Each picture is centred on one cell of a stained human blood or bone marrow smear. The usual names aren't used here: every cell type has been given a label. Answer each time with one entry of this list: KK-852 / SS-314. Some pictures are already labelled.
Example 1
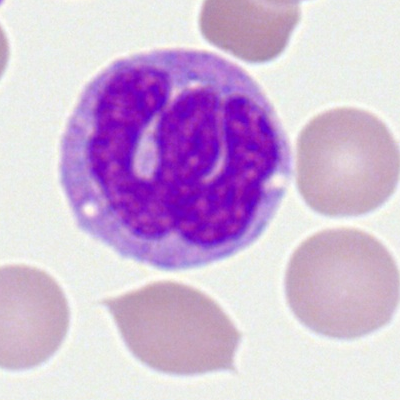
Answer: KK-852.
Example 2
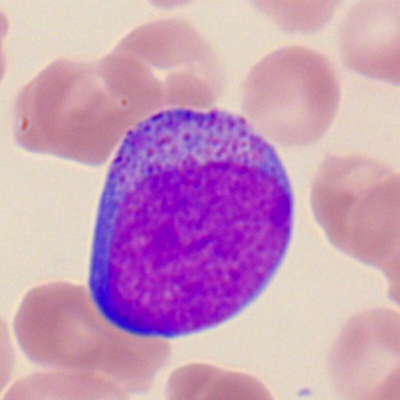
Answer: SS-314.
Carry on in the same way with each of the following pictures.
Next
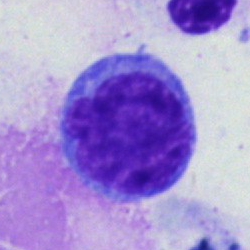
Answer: KK-852.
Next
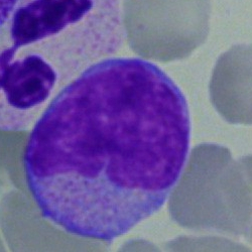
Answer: SS-314.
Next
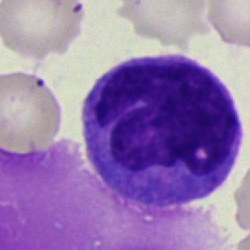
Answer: KK-852.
